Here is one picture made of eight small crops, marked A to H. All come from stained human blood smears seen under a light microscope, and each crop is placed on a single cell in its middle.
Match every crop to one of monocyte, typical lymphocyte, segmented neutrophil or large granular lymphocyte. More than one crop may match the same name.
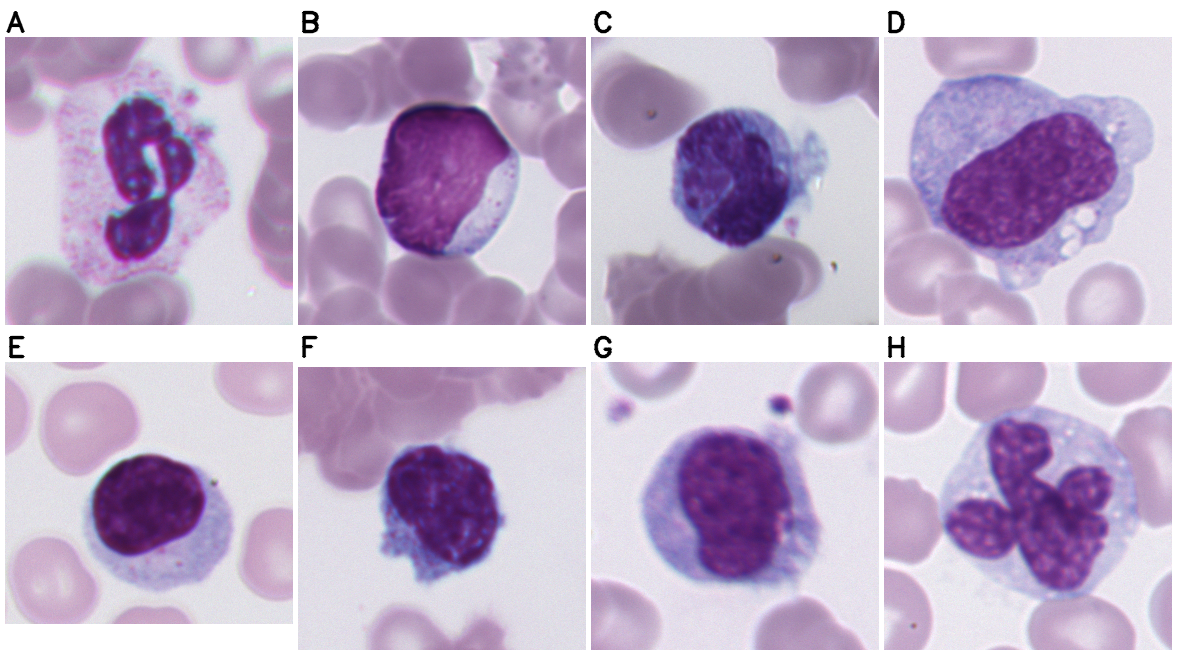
A: segmented neutrophil
B: large granular lymphocyte
C: monocyte
D: monocyte
E: large granular lymphocyte
F: typical lymphocyte
G: monocyte
H: monocyte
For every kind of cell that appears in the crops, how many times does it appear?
monocyte: 4
large granular lymphocyte: 2
segmented neutrophil: 1
typical lymphocyte: 1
